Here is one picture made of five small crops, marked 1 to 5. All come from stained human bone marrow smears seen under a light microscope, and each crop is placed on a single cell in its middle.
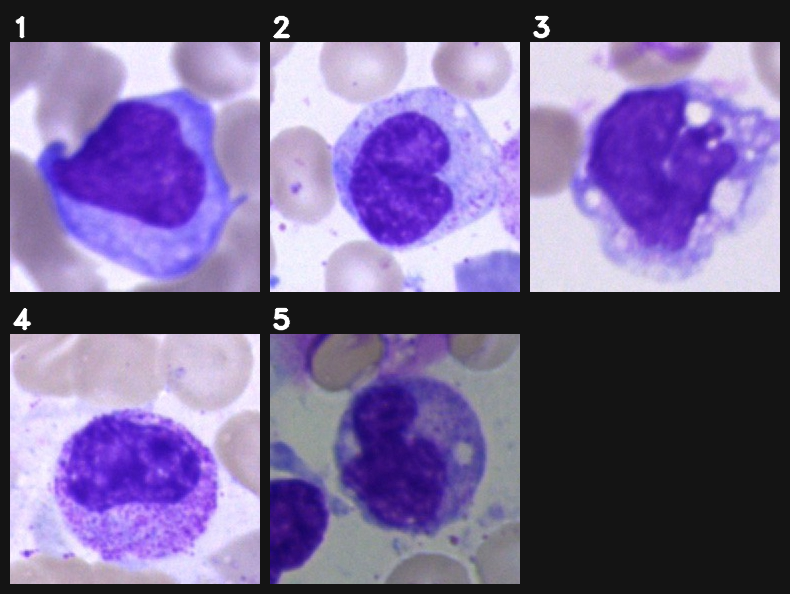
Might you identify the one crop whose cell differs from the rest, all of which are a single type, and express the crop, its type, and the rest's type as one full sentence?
Unlike the rest, which all show monocytes, crop 4 contains a metamyelocyte.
